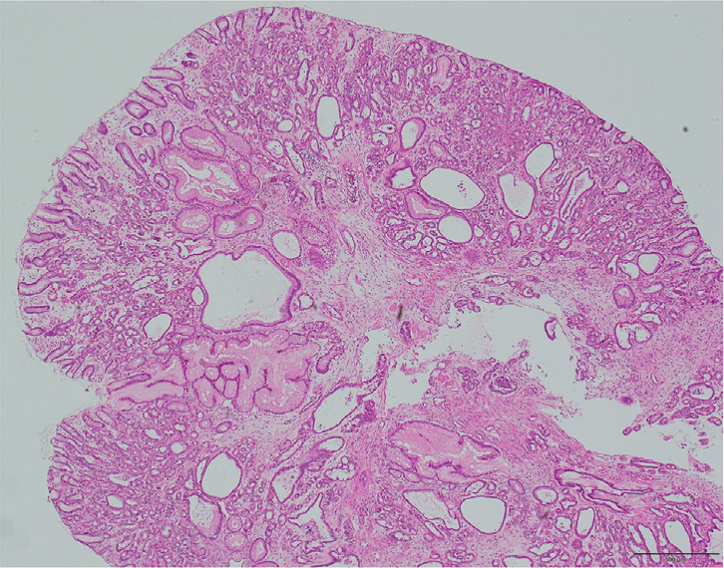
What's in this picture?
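This is a low-power view of a raised, rounded fragment of stomach mucosa, a fundic gland polyp. The surface is covered by a thin, regular layer of pink epithelium with short pits, and below it the mucosa is crowded with small, closely packed glands. Scattered among these glands are many round or irregular empty spaces, dilated glands that form microcysts, each lined by a single thin layer of epithelium. A pale strand of connective tissue runs through the middle of the fragment, carrying the glands on either side.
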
